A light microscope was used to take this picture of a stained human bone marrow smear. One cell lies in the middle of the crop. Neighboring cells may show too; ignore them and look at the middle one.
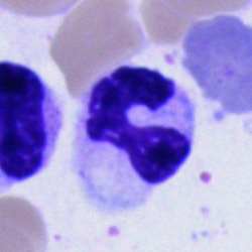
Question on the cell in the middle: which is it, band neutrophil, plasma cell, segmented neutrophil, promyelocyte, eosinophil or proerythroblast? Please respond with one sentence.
The cell centered in this field of view is a band neutrophil.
